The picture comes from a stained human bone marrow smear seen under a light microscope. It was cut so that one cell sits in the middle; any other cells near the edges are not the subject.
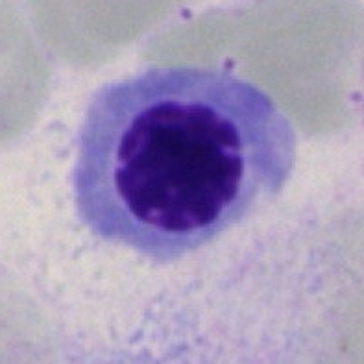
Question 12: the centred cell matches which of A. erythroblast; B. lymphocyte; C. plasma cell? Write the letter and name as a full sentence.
The cell in the middle is an erythroblast, and so option A is correct.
